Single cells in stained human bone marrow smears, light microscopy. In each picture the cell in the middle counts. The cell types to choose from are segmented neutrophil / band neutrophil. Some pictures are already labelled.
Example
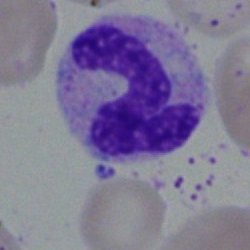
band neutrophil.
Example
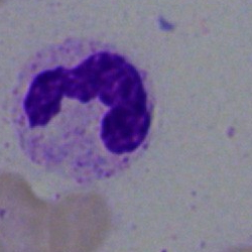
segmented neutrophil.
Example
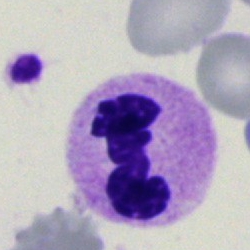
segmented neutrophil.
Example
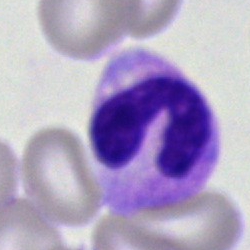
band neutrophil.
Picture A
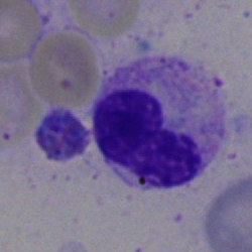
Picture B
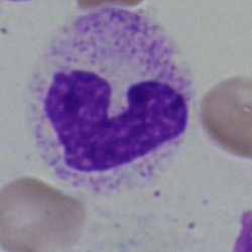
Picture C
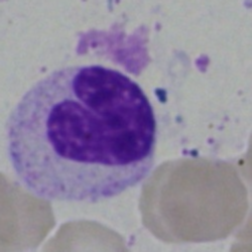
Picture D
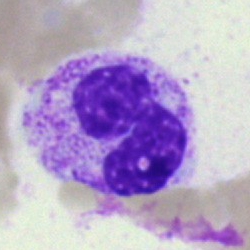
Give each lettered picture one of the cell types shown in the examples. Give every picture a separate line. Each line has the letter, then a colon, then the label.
A: band neutrophil.
B: band neutrophil.
C: band neutrophil.
D: segmented neutrophil.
